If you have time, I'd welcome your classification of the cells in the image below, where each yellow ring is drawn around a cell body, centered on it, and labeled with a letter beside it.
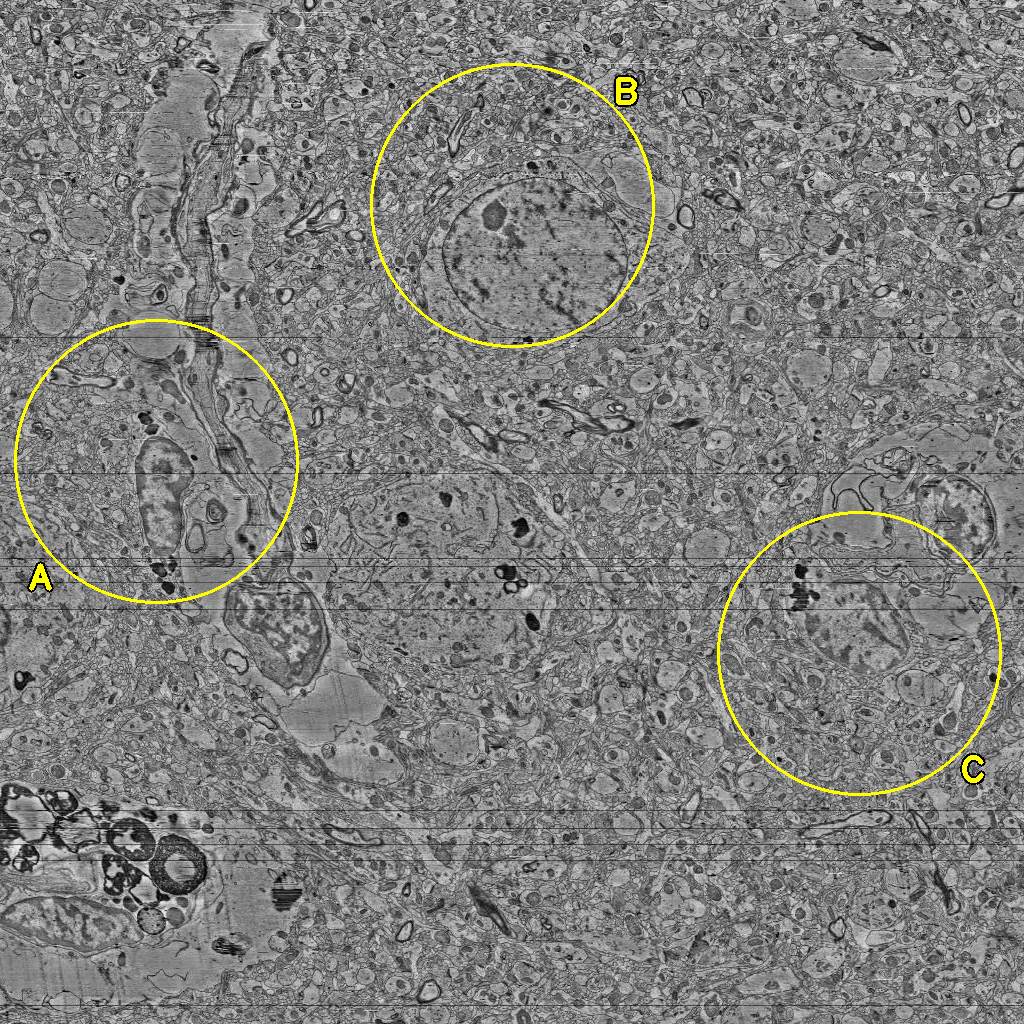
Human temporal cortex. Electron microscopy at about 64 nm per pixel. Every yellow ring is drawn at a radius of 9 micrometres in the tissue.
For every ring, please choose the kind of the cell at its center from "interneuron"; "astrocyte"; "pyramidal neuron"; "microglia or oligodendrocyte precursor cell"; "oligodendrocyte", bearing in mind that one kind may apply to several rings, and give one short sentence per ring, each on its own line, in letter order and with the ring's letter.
At the center of ring A is a microglial cell or oligodendrocyte precursor cell.
At the center of ring B is a pyramidal neuron.
At the center of ring C is an oligodendrocyte.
